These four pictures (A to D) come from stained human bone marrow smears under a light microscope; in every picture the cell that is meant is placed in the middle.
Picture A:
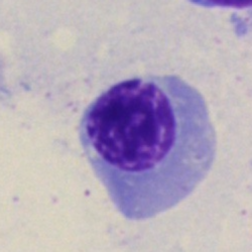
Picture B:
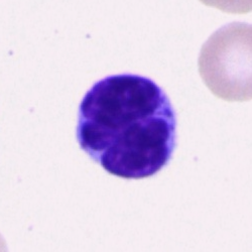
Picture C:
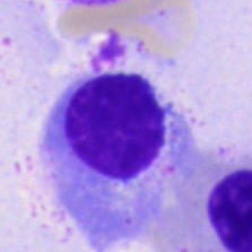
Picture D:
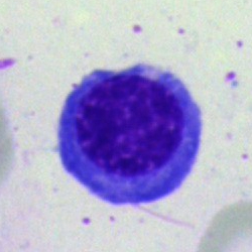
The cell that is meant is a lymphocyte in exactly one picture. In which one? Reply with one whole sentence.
Picture B shows the lymphocyte.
